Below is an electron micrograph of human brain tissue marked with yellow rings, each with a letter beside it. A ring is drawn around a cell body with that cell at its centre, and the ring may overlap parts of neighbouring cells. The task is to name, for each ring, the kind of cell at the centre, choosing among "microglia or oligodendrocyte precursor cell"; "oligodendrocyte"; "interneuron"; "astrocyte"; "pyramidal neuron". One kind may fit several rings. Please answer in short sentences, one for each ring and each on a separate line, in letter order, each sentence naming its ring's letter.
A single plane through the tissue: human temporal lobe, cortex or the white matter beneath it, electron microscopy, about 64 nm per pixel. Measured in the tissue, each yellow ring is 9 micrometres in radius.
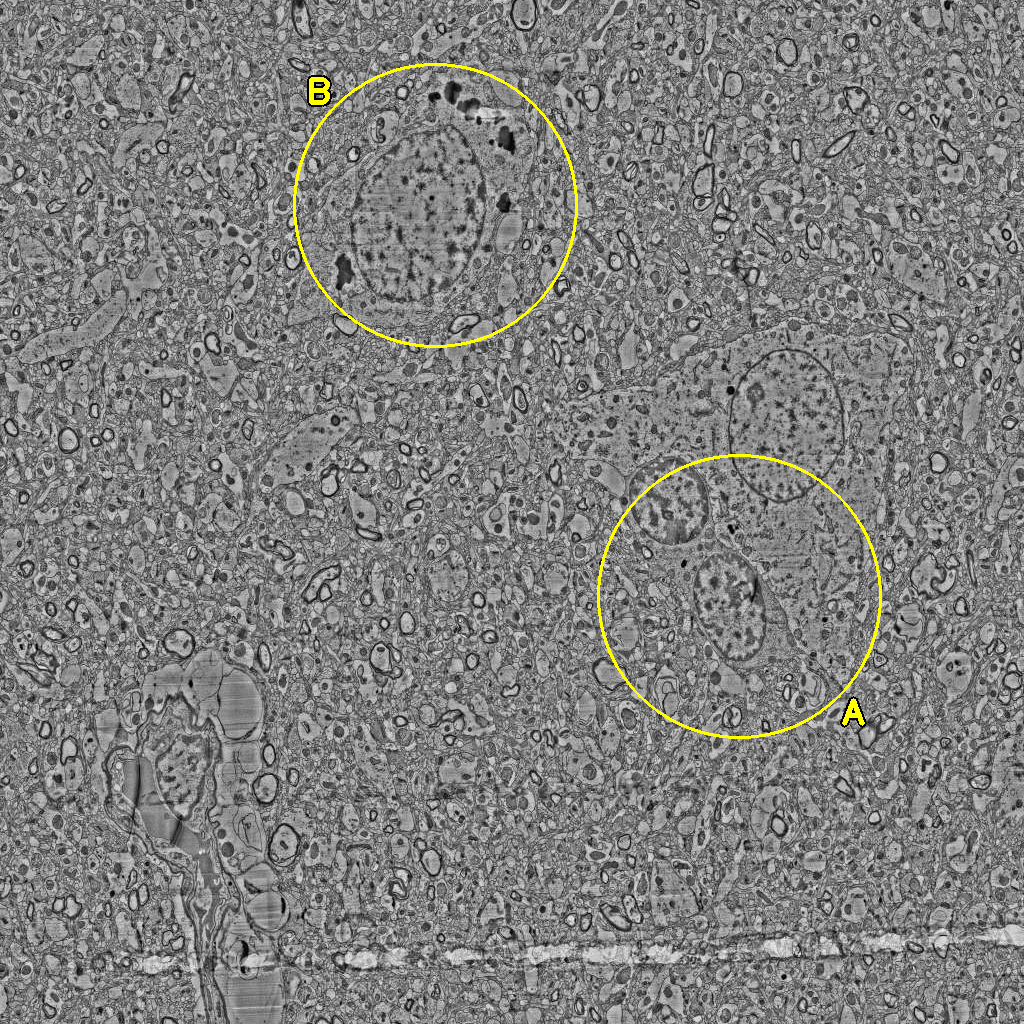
The ring with letter A is centred on an oligodendrocyte.
The ring with letter B is centred on an interneuron.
